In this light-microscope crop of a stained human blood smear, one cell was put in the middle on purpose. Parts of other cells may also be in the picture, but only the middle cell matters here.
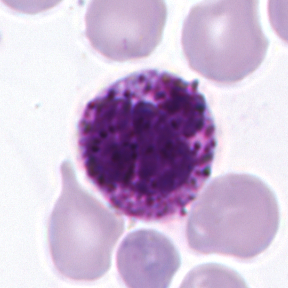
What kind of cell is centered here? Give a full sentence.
Seen at the centre of the crop is a basophil.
